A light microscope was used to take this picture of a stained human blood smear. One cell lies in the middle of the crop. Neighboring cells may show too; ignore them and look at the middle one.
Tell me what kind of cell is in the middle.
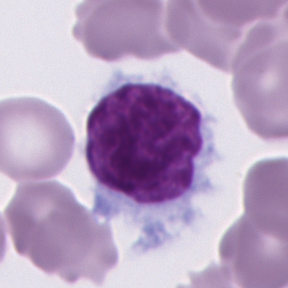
hairy cell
